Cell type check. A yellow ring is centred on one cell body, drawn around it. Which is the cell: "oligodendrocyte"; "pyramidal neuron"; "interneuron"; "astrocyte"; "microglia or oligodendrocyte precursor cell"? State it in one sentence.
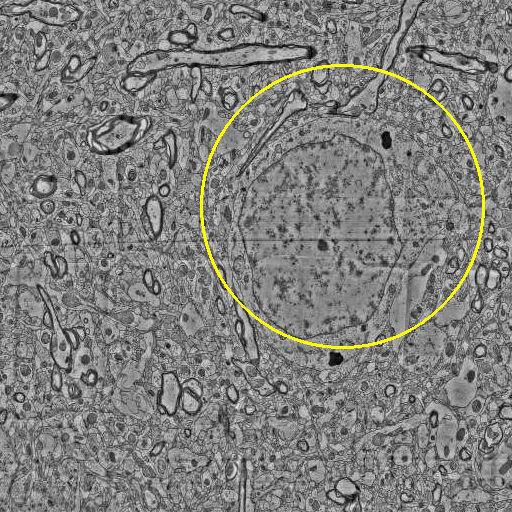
The cell body at the ring's centre belongs to a pyramidal neuron.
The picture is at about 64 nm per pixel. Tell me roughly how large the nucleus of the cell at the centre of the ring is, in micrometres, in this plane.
In this plane the nucleus is about 13 micrometres by 11.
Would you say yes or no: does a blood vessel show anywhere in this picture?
No, no blood vessel shows in the picture.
